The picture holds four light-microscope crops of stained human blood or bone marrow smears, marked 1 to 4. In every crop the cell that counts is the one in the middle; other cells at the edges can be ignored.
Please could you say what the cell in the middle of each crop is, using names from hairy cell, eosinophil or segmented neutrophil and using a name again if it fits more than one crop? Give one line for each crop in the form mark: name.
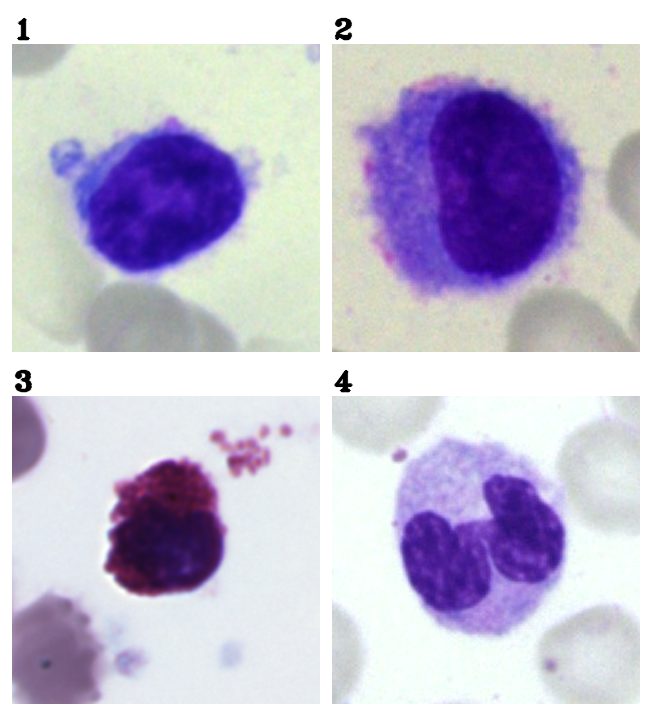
1: hairy cell
2: hairy cell
3: eosinophil
4: segmented neutrophil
